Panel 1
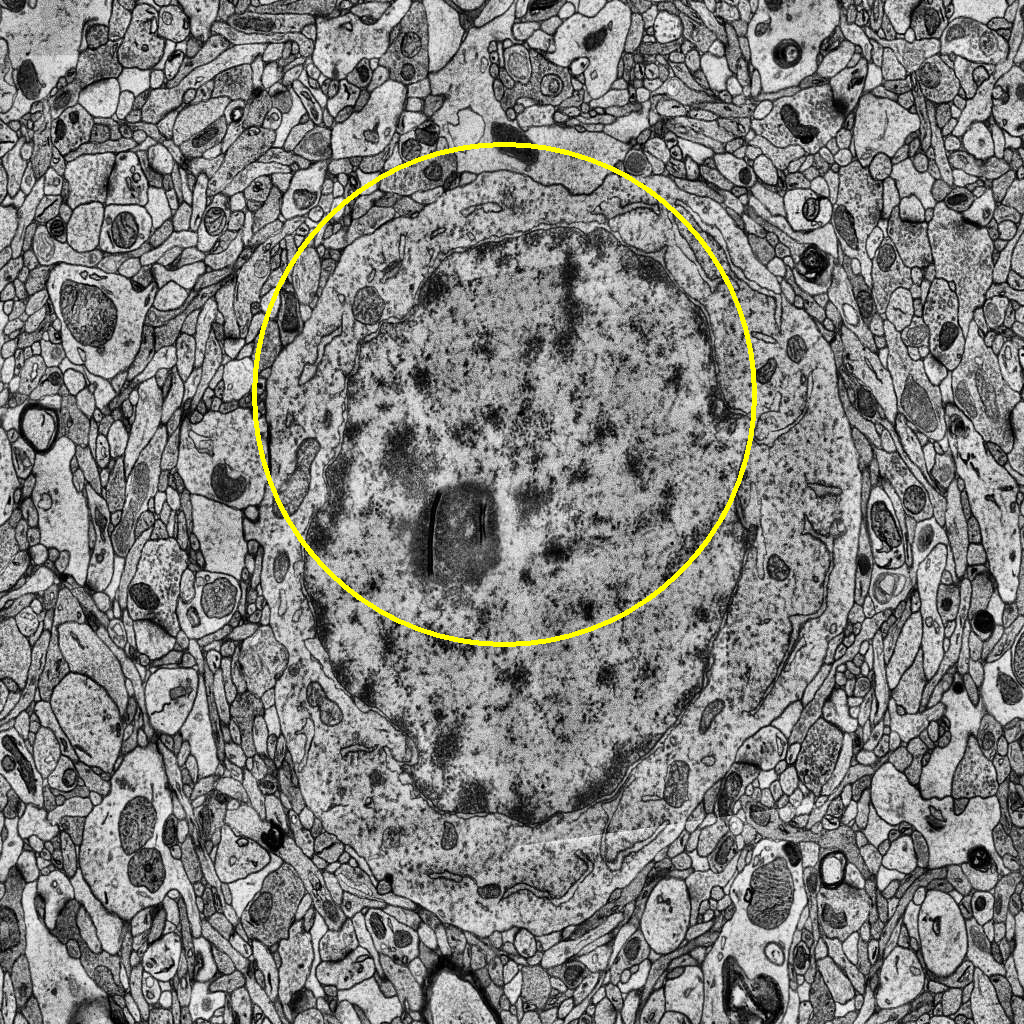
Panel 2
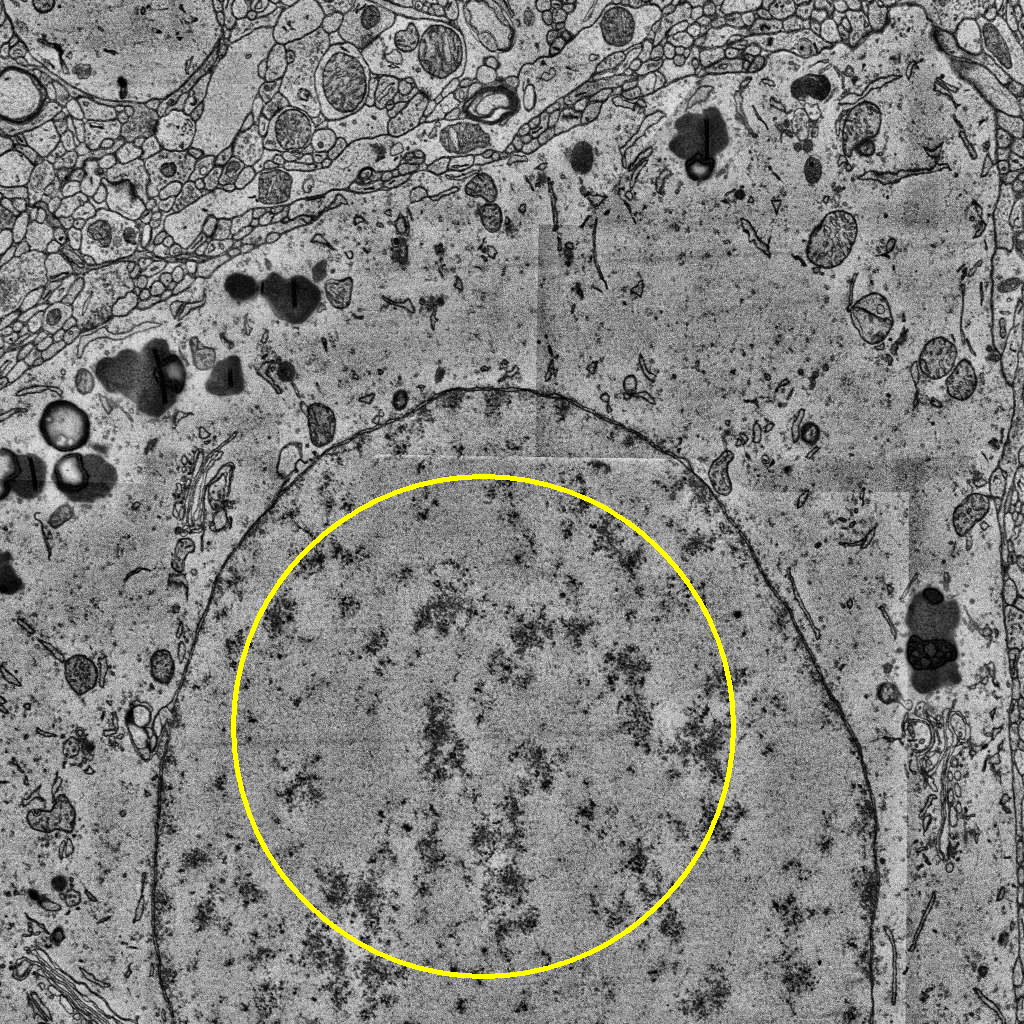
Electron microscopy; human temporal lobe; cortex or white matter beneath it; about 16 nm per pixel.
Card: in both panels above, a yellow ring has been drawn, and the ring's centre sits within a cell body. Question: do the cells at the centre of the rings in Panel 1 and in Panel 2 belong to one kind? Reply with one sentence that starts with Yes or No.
No, the cells at the ring centres of Panel 1 and Panel 2 are two kinds of cell.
